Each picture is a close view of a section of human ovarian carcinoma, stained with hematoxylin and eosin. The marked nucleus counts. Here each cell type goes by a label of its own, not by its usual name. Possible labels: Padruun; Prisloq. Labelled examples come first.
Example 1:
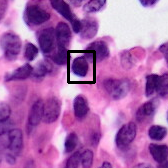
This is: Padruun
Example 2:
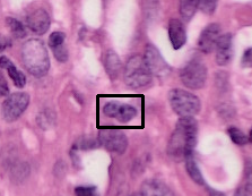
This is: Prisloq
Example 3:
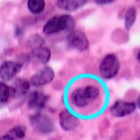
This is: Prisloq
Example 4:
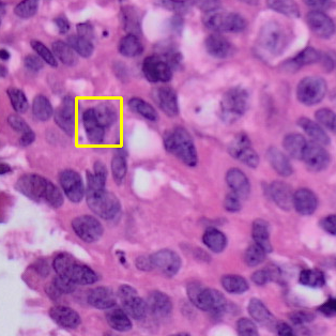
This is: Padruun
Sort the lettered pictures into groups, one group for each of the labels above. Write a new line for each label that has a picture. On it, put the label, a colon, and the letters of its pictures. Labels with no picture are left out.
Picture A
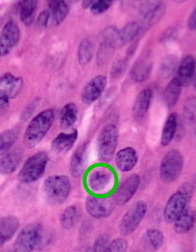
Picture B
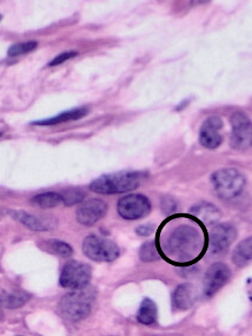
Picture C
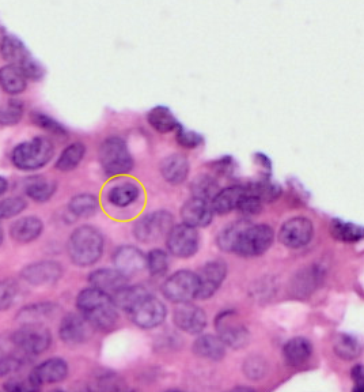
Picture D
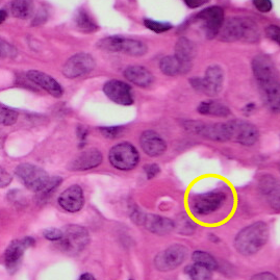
Padruun: B, D
Prisloq: A, C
